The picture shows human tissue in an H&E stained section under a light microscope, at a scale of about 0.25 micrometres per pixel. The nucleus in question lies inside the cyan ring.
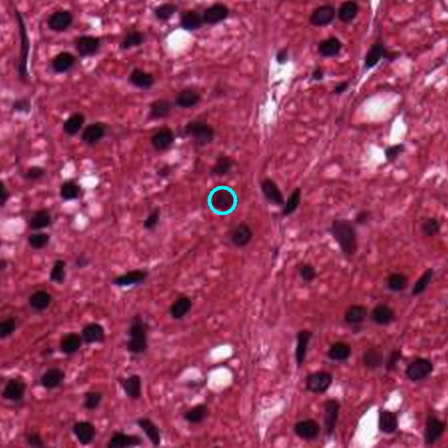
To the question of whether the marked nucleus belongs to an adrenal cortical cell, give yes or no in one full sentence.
Yes, the nucleus bearing the mark is that of an adrenal cortical cell.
